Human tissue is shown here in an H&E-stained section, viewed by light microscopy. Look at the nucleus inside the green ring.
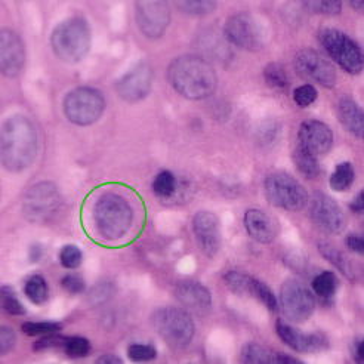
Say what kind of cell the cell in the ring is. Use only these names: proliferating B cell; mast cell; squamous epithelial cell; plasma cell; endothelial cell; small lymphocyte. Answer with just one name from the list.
squamous epithelial cell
